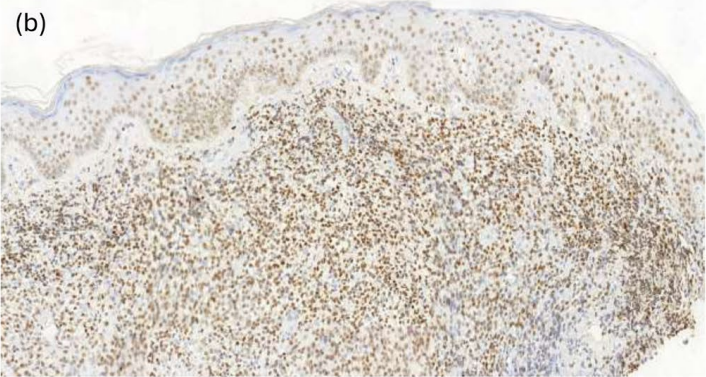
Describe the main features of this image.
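This is skin with a stratified squamous epithelium along the top and, beneath it, a dense sheet of atypical lymphocytes filling the dermis. The staining is nuclear and spread diffusely across the whole infiltrate rather than in small clusters. The epithelium above shows undulating rete ridges, and many of its nuclei carry a paler brown tint. Only thin strips of pale connective tissue separate the infiltrate from the epithelium.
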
